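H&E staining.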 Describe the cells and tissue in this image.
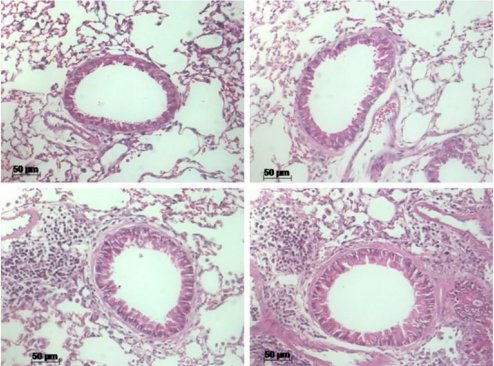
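The airway is lined by tall, pink columnar epithelium whose nuclei are stacked in a row. Beneath it lies a thin pink band of smooth muscle and connective tissue. Around the airway the lung consists of thin-walled alveoli with delicate pink septa. In the upper two images the tissue around the airway is thin and holds few cells. In the lower two images dense clusters of small cells with dark purple, round nuclei gather around the airway and the nearby vessels. This is an inflammatory infiltrate, and it is heavier in the lower right image.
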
